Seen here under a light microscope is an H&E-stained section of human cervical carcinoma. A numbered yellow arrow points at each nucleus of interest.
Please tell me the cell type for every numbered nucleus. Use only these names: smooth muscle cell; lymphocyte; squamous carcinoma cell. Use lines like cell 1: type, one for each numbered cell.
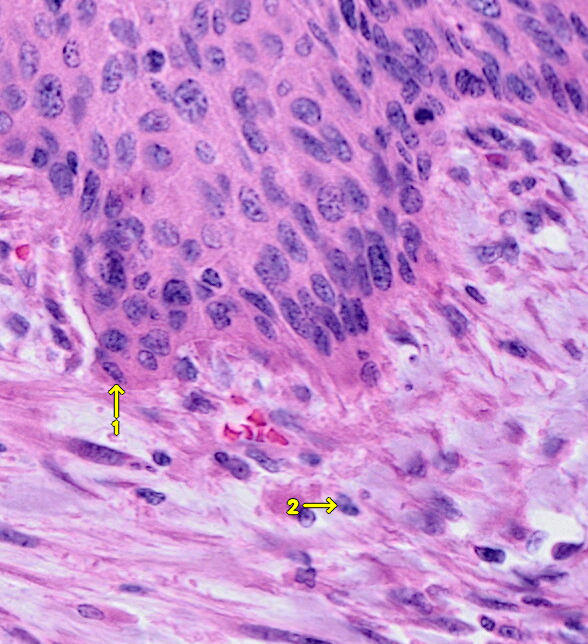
cell 1: squamous carcinoma cell
cell 2: lymphocyte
